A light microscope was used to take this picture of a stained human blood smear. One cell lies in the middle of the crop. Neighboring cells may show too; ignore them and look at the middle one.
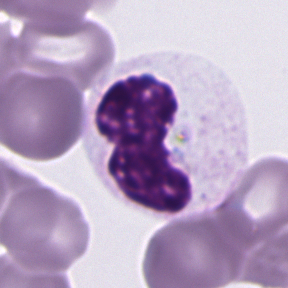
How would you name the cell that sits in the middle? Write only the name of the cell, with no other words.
band neutrophil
